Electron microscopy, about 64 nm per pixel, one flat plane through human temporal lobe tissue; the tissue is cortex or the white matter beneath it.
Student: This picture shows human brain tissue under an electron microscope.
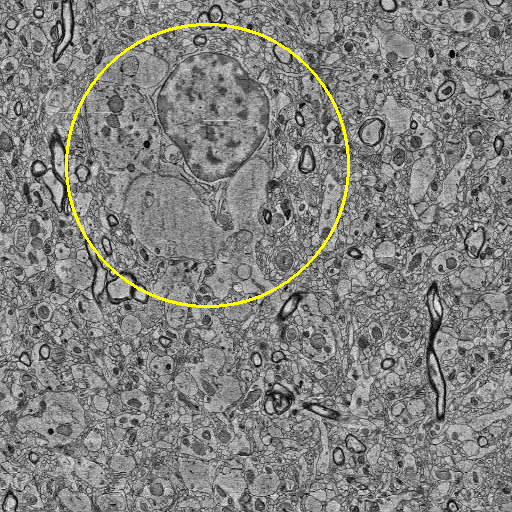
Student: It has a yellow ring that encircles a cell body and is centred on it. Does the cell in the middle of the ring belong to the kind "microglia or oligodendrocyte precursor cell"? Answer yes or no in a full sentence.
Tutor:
Yes, the cell in the middle of the ring in this picture is of that kind.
